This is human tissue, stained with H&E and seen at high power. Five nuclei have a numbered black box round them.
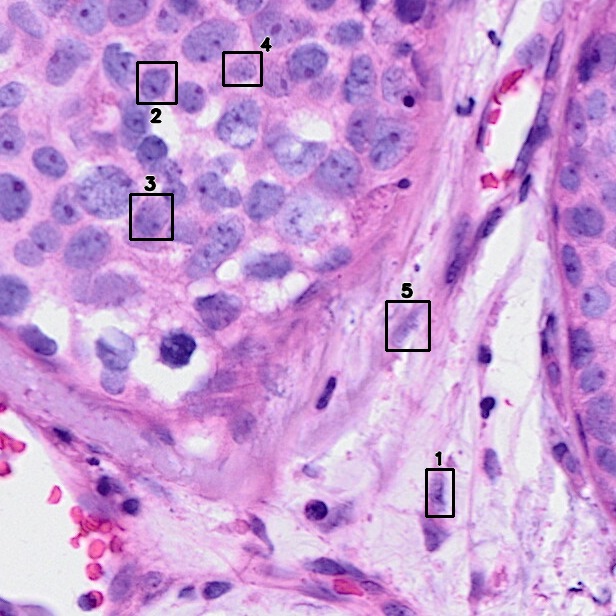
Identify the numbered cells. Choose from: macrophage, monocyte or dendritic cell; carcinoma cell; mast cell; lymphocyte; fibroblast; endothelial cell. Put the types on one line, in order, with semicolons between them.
fibroblast; carcinoma cell; carcinoma cell; carcinoma cell; fibroblast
